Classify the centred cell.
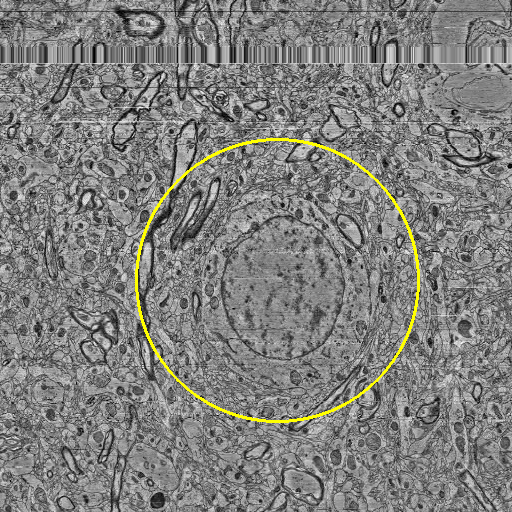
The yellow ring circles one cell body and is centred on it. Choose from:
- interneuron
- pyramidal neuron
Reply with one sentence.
The ring is centred on a pyramidal neuron.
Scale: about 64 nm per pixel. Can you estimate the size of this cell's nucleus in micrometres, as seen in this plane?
The nucleus of the ringed cell is approximately 10 by 8 micrometres in this plane.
